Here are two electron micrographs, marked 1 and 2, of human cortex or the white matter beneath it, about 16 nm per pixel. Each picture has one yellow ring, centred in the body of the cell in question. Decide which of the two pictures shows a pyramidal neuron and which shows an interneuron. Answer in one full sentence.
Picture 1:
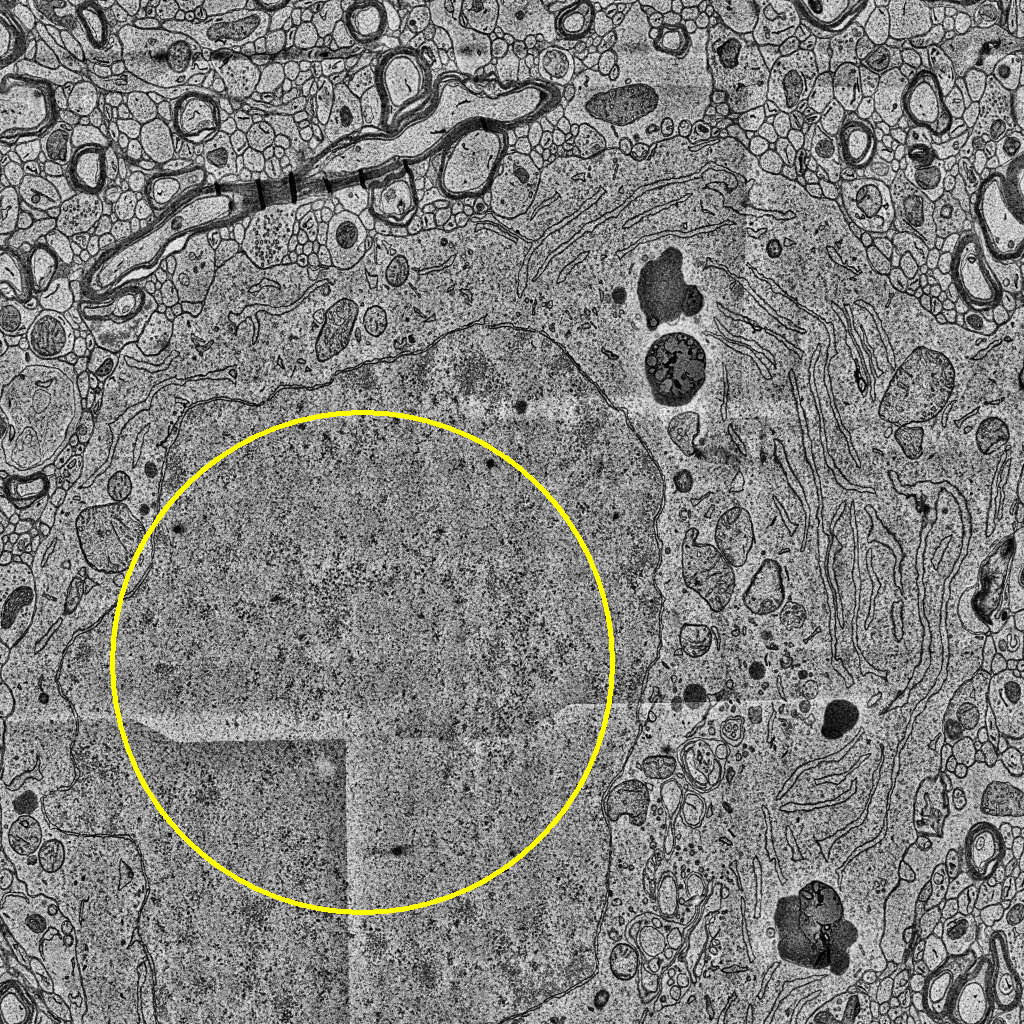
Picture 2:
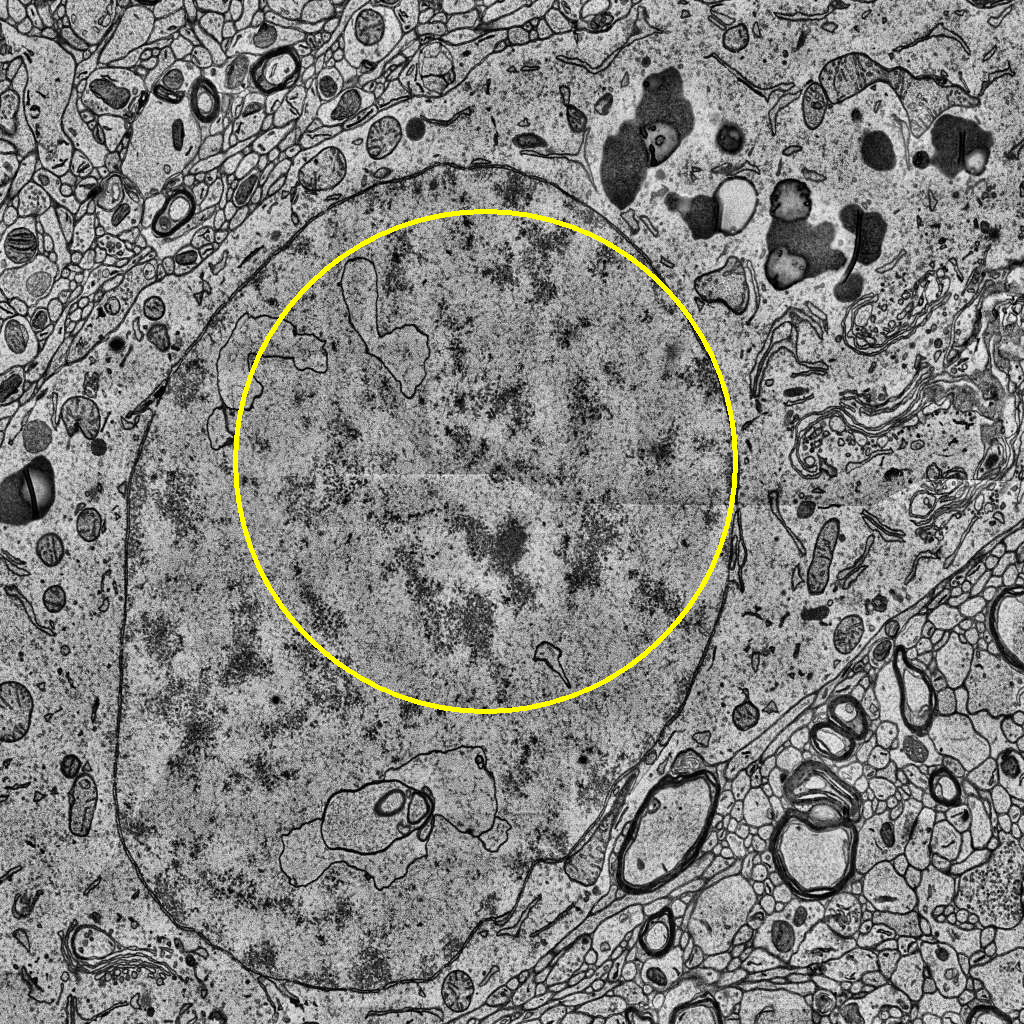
The cell in picture 1 is an interneuron, and the one in picture 2 is a pyramidal neuron.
